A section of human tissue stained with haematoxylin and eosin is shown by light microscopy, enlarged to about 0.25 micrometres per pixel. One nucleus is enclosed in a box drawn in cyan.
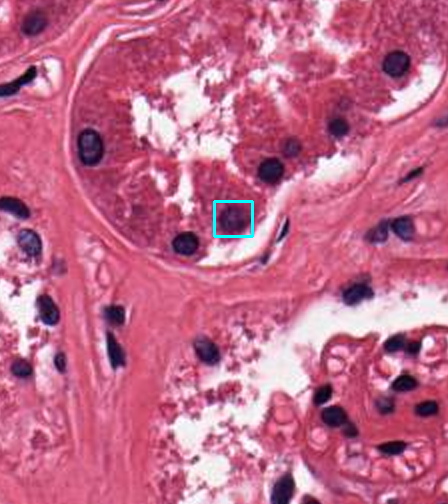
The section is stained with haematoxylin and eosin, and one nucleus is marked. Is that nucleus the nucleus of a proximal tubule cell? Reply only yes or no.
yes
